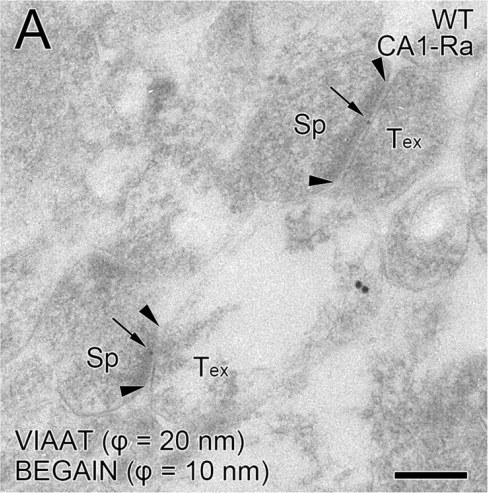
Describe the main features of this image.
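Two asymmetrical synapses are seen in which vesicle-filled presynaptic terminals contact rounded dendritic spines. At each contact a thick, dark postsynaptic density lines the spine membrane across a narrow cleft, and small gold particles lie near it; a few larger particles lie free in the surrounding neuropil.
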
